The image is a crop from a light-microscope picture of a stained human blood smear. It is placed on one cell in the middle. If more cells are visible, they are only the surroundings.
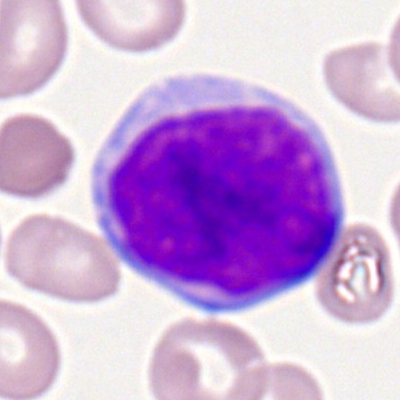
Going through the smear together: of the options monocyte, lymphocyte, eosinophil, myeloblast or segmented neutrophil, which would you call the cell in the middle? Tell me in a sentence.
The central element of this crop is a cell, namely a myeloblast.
